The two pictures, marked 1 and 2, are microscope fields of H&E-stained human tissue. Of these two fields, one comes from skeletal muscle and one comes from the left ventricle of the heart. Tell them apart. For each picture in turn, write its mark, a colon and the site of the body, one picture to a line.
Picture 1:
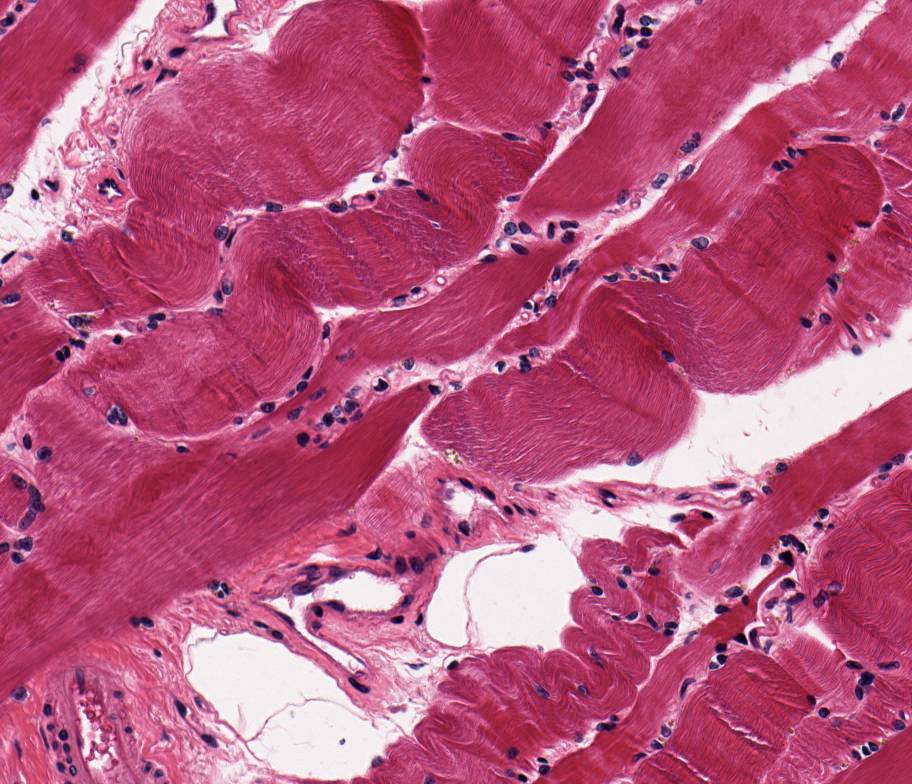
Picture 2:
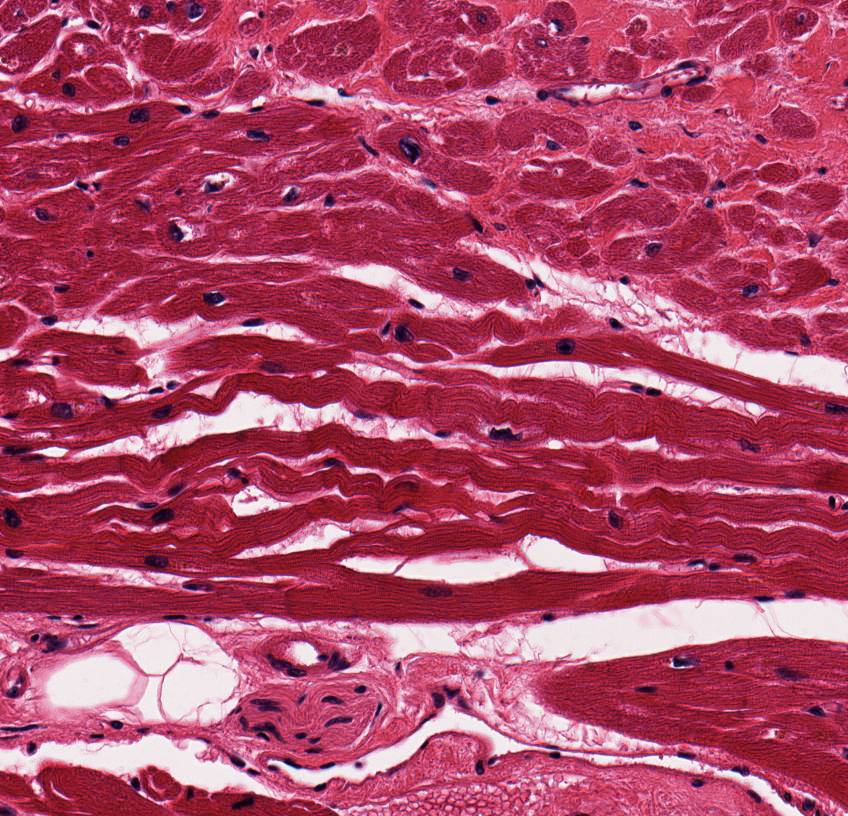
1: skeletal muscle
2: left ventricle of the heart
